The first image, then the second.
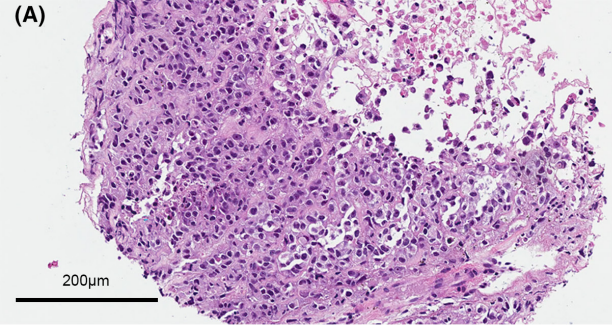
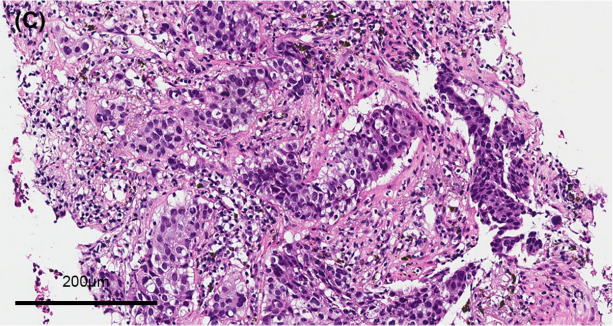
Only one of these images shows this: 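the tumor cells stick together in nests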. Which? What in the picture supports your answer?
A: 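First image: large round cells form loose sheets and fall apart from one another at the upper right. Second image: tumor cells form tight clusters separated by pink fibrous stroma.
Conclusion: the second image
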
